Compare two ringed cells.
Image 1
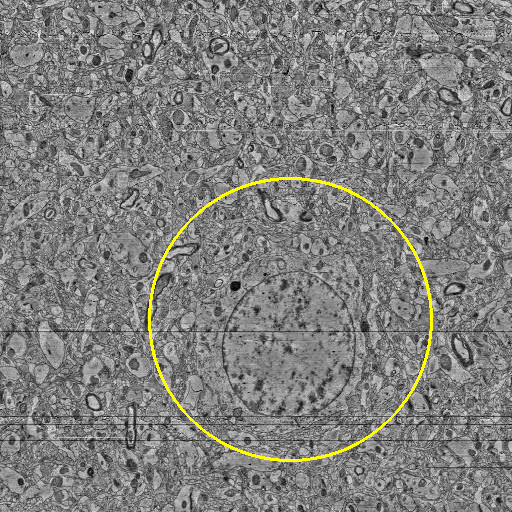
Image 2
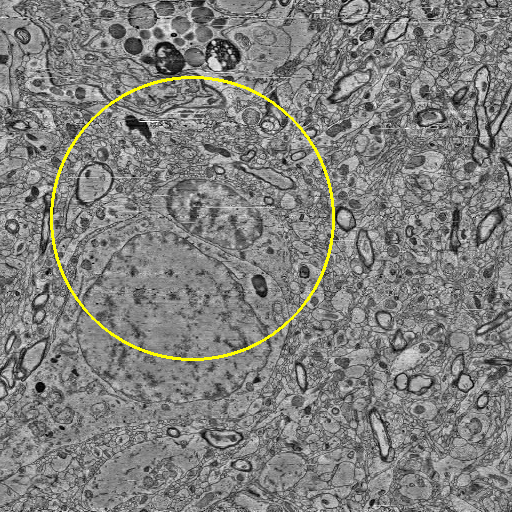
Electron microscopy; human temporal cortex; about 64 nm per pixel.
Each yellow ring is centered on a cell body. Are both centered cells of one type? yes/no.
no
